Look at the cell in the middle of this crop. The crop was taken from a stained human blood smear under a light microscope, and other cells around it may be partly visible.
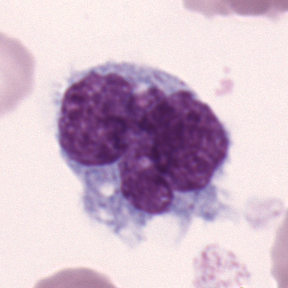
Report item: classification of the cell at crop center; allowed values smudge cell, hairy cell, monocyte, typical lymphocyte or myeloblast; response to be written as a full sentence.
Where the crop is centred, there is a monocyte.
